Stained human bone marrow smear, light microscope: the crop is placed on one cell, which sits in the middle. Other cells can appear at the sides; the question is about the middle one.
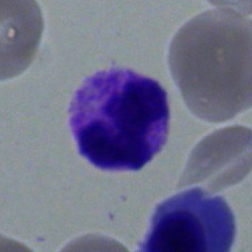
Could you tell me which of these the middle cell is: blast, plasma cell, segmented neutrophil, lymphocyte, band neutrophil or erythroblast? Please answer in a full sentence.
The cell at the middle of the frame should be recorded as a segmented neutrophil.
